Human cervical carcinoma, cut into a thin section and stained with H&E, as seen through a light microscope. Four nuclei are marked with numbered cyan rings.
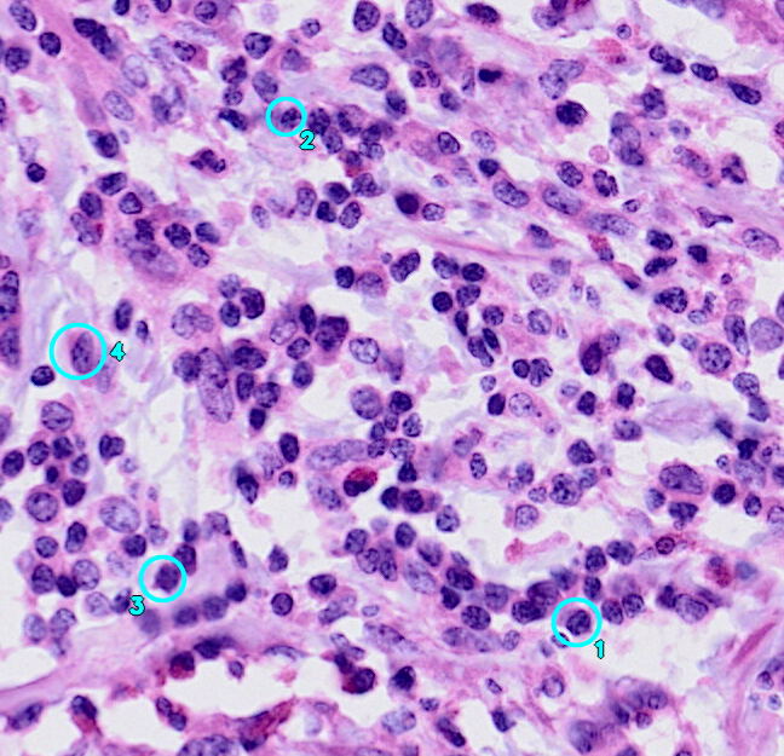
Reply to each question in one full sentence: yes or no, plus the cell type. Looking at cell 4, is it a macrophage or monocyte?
Yes, that is correct: the cell numbered 4 is a macrophage or monocyte.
